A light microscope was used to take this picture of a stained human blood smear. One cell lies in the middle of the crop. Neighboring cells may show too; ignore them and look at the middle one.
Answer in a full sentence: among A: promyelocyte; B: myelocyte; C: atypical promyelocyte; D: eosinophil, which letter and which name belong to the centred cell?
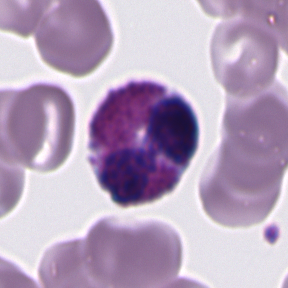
The correct choice is option D, which identifies the middle cell as an eosinophil.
